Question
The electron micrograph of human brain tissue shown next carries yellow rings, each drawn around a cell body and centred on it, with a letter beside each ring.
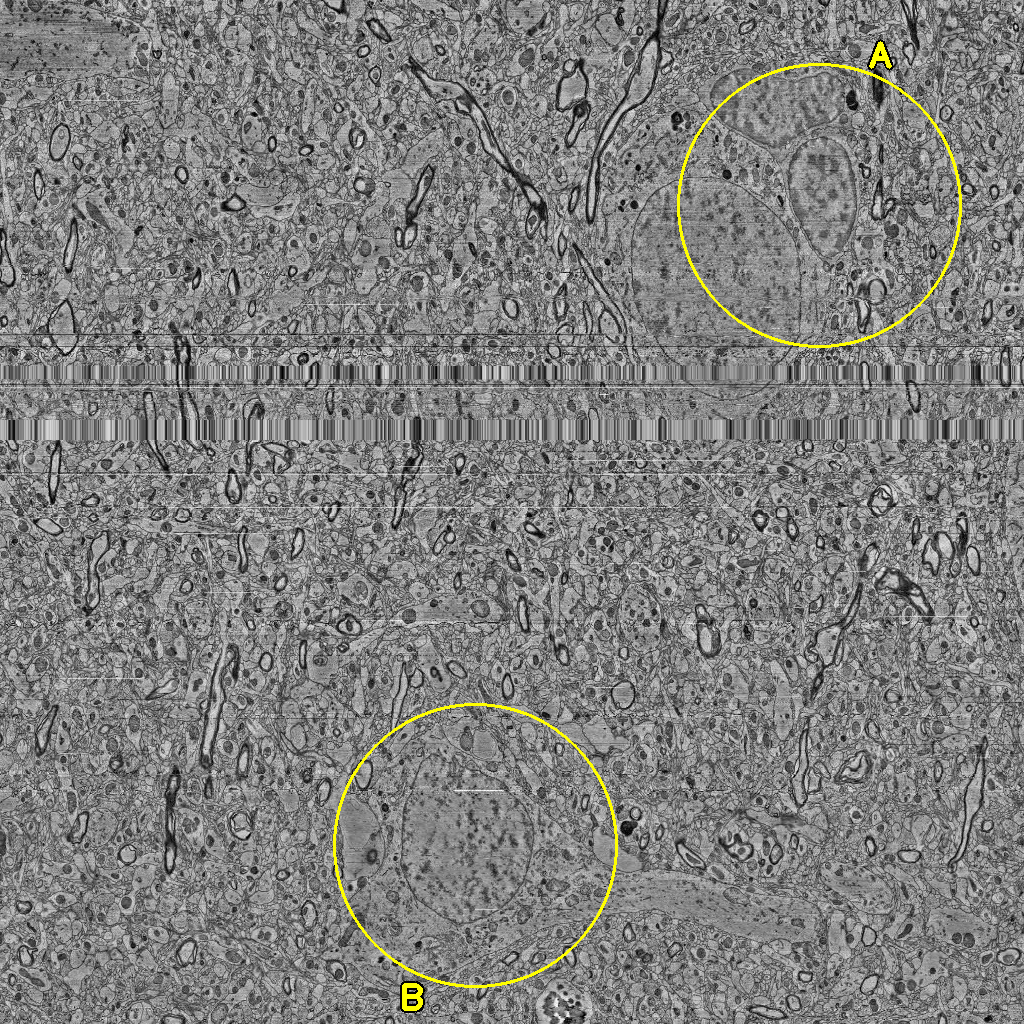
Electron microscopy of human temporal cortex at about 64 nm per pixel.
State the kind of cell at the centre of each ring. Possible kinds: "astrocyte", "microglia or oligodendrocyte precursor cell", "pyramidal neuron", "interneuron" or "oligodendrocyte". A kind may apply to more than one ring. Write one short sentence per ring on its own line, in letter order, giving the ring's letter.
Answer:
The cell centred in ring A is an oligodendrocyte.
The cell centred in ring B is a pyramidal neuron.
